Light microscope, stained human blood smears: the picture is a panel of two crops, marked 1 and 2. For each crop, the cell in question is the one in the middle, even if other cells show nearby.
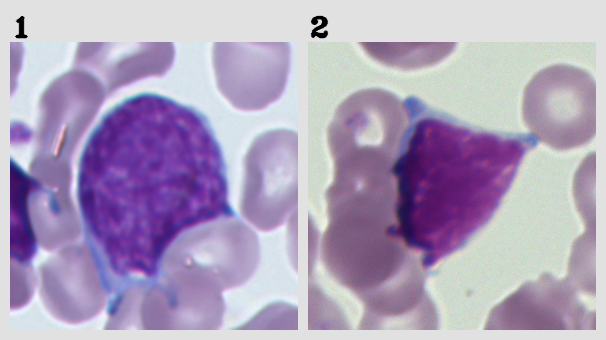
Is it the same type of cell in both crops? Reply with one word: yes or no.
no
